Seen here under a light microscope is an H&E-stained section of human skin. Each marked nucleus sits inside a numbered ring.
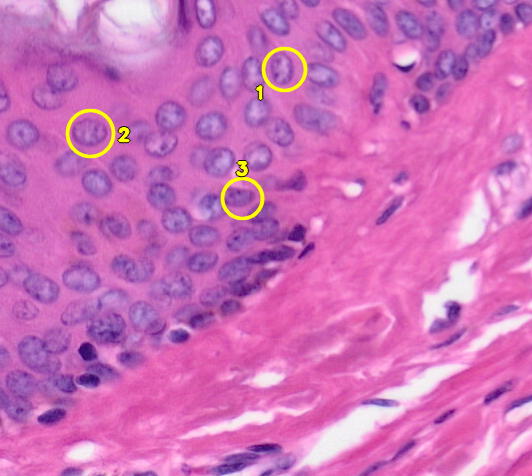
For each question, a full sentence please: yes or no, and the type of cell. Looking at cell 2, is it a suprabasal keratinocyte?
Yes, the cell referred to as number 2 is a suprabasal keratinocyte.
